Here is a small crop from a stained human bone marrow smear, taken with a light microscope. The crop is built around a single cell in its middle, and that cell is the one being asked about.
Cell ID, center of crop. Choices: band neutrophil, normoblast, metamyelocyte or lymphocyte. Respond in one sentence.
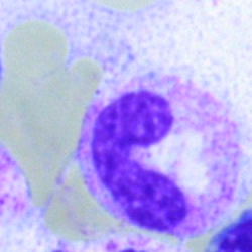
The cell in the middle of this crop is a band neutrophil.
